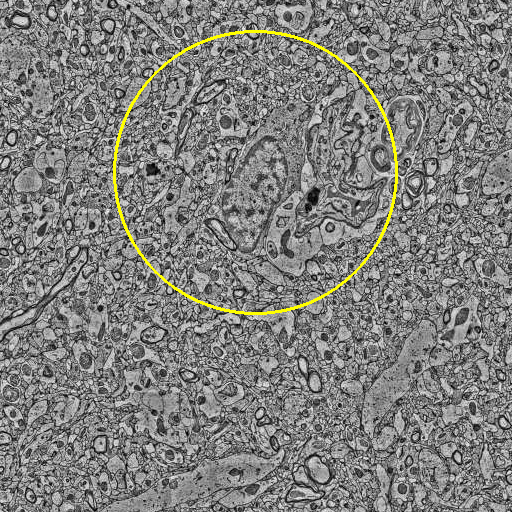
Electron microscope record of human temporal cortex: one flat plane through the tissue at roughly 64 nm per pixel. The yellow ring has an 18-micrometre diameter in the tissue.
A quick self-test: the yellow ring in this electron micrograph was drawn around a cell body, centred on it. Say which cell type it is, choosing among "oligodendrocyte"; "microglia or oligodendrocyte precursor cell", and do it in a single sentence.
The yellow-ringed cell is an oligodendrocyte.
